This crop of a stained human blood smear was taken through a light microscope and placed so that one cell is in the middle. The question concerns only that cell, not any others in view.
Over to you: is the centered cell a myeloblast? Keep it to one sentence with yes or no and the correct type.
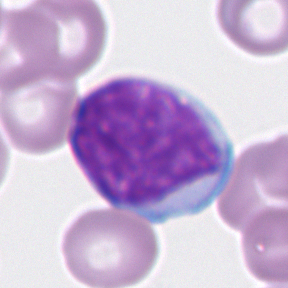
Yes, the cell shown at the crop's centre is a myeloblast.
